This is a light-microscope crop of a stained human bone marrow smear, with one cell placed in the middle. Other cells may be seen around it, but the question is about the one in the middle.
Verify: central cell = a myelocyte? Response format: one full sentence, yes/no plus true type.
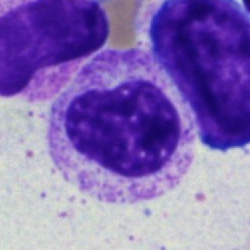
Yes, the middle cell here is a myelocyte.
